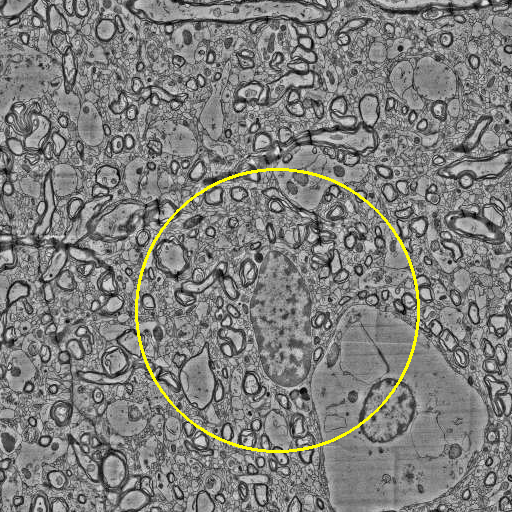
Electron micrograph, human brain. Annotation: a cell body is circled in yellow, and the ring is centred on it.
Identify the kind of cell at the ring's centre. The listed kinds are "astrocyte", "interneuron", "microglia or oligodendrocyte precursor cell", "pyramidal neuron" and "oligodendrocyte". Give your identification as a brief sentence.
The circled cell body is that of a microglial cell or oligodendrocyte precursor cell.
